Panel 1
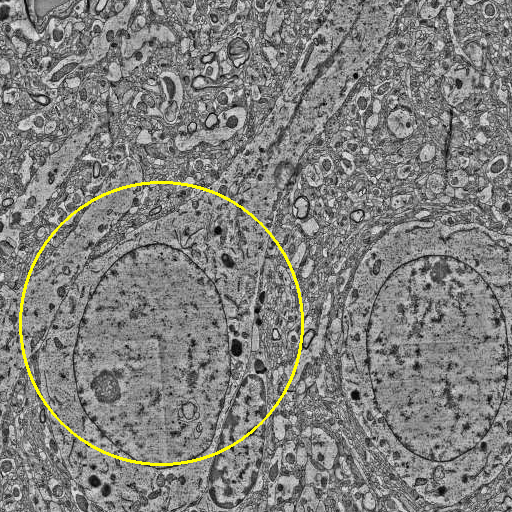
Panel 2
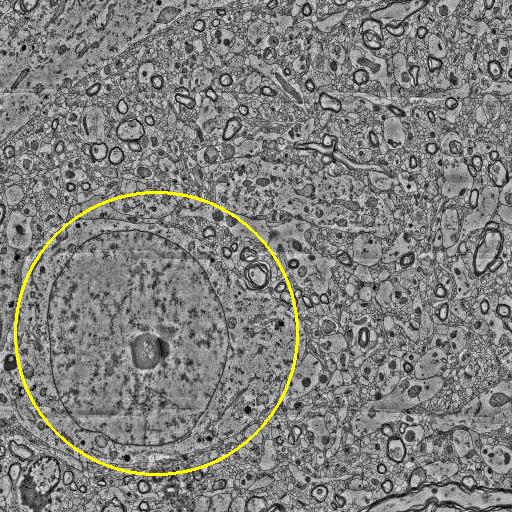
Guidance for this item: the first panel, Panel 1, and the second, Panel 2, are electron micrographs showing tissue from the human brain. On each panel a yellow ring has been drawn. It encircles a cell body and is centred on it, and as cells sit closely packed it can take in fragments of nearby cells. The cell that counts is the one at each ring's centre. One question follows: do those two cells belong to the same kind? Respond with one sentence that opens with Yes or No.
Yes, the cells at the ring centres in Panel 1 and Panel 2 are of one kind.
